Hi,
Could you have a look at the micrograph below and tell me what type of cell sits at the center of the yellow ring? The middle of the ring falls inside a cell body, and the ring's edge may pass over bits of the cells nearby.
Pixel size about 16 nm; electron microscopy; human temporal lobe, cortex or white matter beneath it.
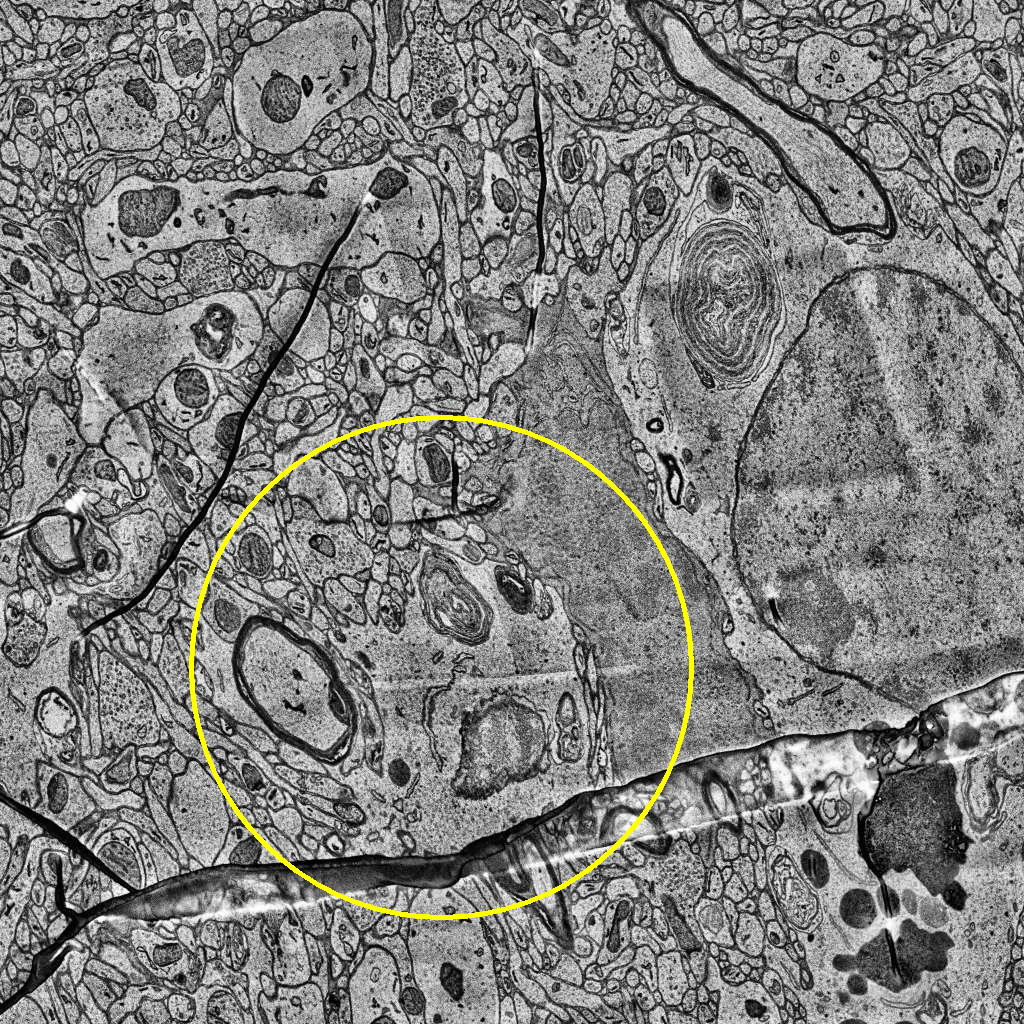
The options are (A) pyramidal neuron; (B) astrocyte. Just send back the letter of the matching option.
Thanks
B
